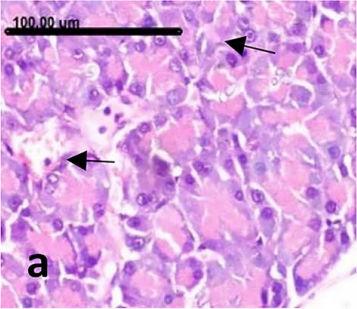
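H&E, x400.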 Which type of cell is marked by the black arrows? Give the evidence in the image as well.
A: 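Pancreatic acinar cells. Pyramidal cells grouped in small clusters around tiny lumens. Round basal nuclei with pink apical cytoplasm.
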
